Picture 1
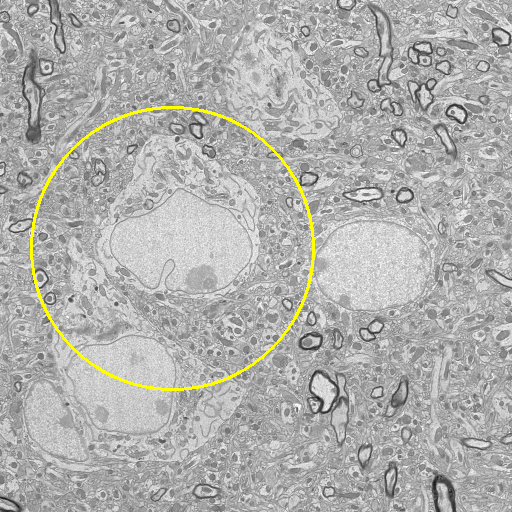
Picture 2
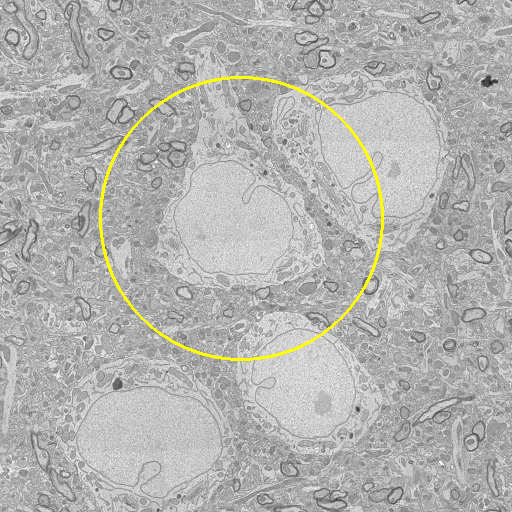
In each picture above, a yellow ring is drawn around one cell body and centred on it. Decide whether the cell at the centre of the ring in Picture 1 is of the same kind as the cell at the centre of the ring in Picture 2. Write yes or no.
yes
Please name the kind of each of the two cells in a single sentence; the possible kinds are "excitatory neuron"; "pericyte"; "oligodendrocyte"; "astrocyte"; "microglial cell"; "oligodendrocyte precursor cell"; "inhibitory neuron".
In each of the two pictures, the ringed cell is an excitatory neuron.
